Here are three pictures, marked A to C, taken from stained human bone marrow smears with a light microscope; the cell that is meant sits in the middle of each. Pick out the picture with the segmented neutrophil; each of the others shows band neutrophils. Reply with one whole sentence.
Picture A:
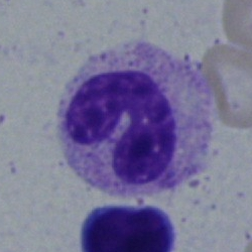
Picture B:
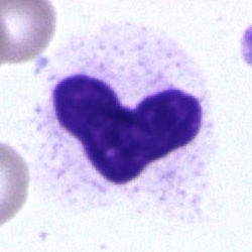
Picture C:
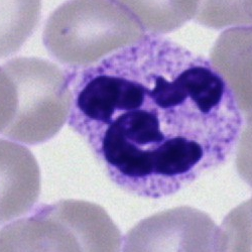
The cell in picture C is the segmented neutrophil.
